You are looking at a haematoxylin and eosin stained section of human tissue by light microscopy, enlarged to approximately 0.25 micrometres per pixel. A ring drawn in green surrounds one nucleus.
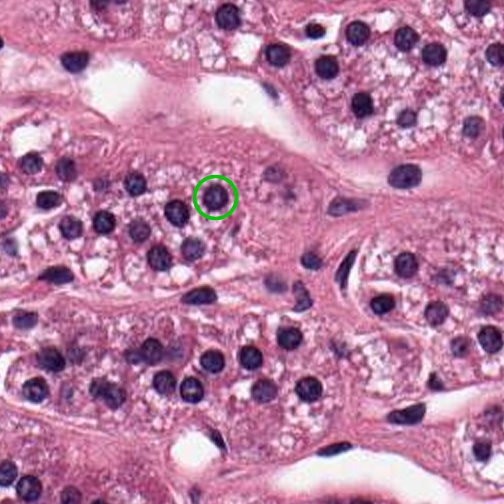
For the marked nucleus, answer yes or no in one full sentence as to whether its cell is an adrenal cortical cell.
Yes, the marked nucleus is that of an adrenal cortical cell.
